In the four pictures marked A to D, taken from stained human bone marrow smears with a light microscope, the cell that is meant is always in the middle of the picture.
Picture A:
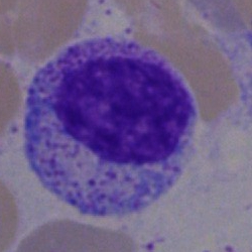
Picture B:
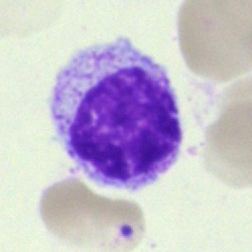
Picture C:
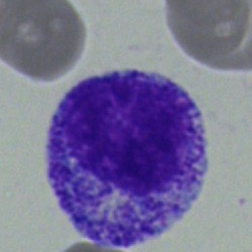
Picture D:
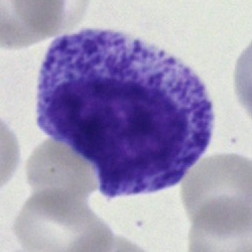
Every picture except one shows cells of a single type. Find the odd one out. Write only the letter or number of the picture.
D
